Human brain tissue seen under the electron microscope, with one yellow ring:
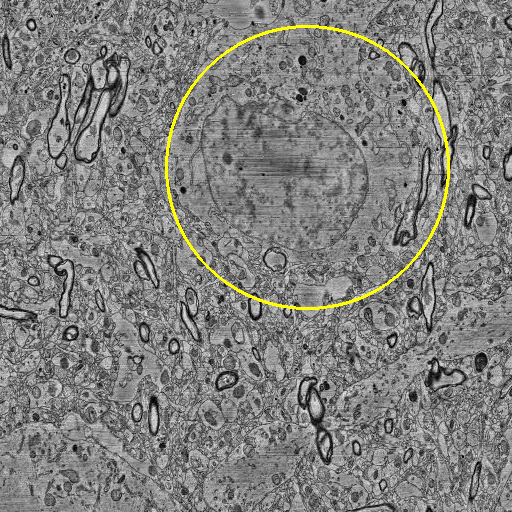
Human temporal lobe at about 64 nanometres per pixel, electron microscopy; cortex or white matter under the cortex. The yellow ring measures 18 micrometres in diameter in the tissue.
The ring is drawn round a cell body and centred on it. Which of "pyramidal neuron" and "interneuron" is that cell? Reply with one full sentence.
The picture shows an interneuron at the very centre of the yellow ring.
